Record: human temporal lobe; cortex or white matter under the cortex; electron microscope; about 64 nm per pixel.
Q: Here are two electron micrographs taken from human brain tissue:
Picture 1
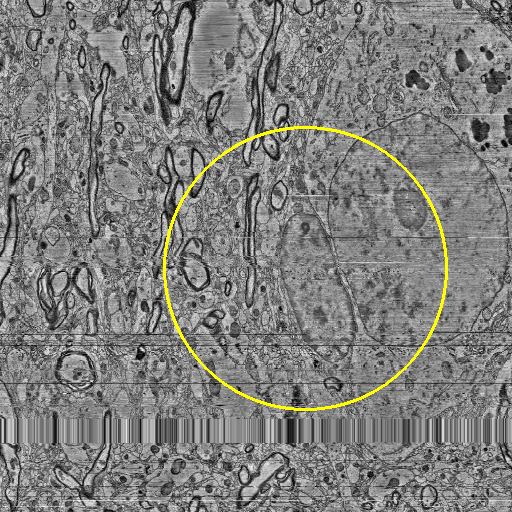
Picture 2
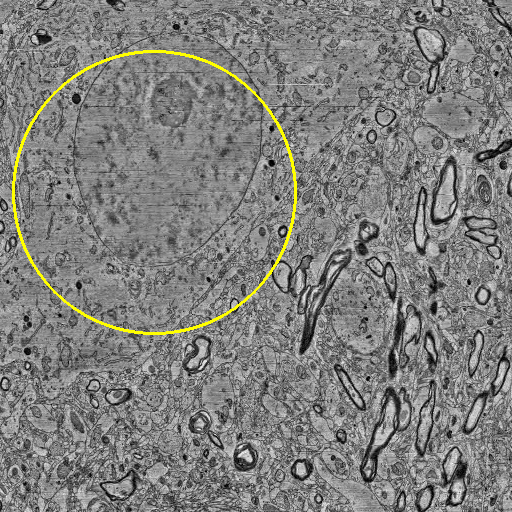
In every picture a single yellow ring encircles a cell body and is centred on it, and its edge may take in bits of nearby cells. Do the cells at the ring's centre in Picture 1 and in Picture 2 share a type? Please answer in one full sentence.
No, the cells at the ring's centre in Picture 1 and Picture 2 are of two types.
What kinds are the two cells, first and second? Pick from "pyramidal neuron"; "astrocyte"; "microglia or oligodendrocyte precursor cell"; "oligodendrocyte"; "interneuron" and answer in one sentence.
The second picture holds a pyramidal neuron in its ring, and the first holds an oligodendrocyte.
